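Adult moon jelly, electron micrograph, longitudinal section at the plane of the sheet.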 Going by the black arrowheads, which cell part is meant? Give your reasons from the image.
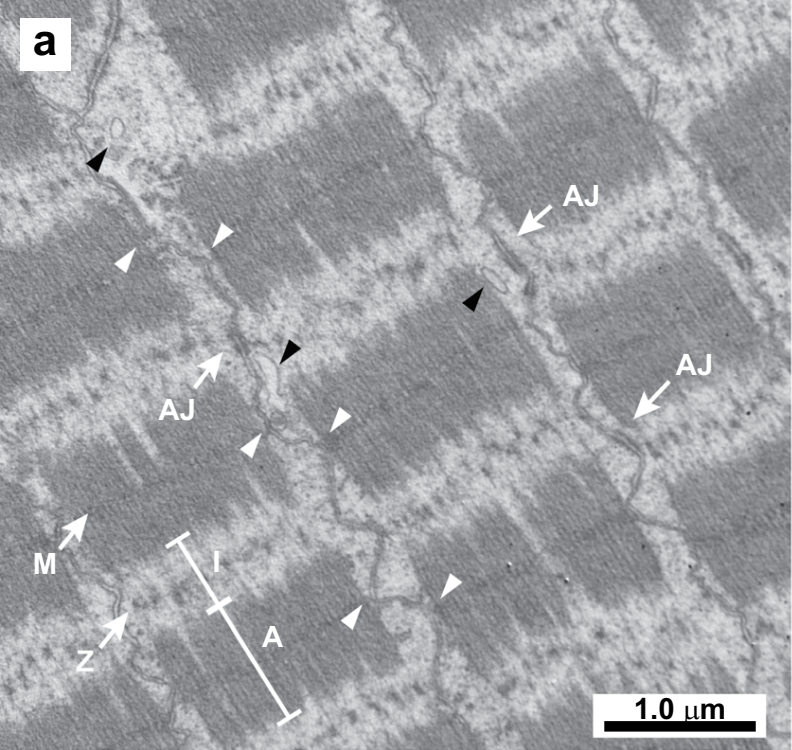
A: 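Small round membrane-bound profiles lie at the cell boundaries where the black arrowheads point. They are clear inside and bounded by a thin membrane.
Hence: vesicles.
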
